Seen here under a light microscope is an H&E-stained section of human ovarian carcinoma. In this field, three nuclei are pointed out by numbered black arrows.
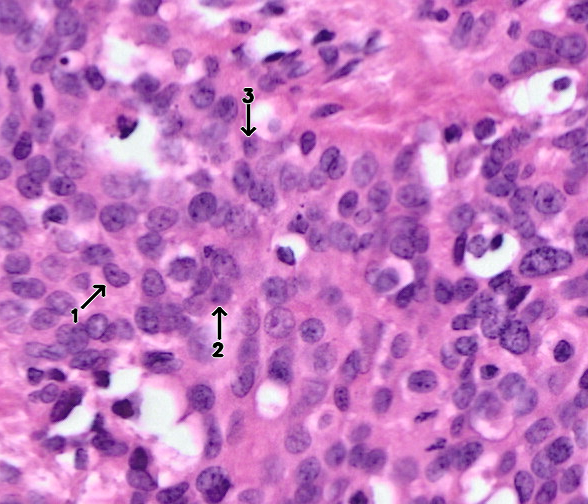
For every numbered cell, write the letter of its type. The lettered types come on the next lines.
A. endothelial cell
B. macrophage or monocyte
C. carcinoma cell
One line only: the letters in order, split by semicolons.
B; C; C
